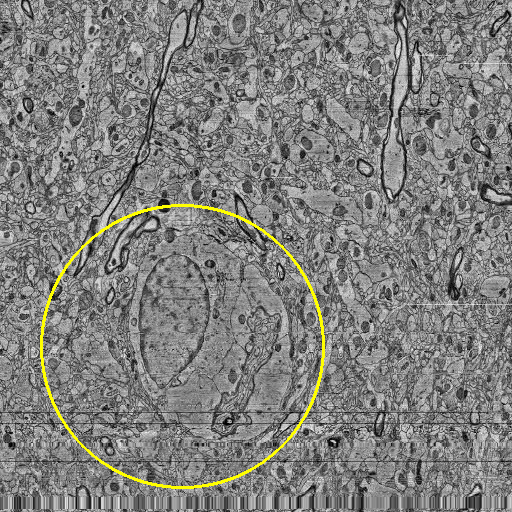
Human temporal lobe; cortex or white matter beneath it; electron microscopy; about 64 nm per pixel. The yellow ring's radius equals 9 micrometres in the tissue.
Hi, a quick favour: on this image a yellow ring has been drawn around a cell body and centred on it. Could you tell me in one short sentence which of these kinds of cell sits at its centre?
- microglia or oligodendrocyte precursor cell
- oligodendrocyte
The ring is centred on a microglial cell or oligodendrocyte precursor cell.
